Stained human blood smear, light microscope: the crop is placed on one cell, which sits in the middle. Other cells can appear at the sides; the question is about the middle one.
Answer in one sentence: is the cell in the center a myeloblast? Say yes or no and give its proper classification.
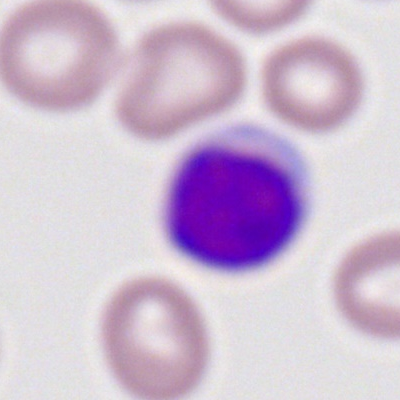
No, it is not a myeloblast that lies in the middle but a lymphocyte.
